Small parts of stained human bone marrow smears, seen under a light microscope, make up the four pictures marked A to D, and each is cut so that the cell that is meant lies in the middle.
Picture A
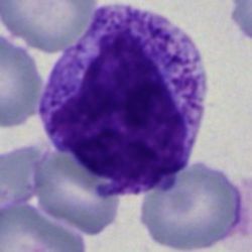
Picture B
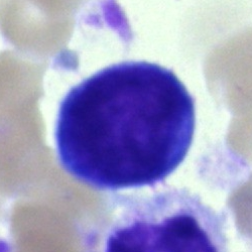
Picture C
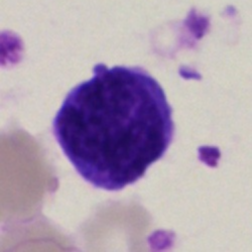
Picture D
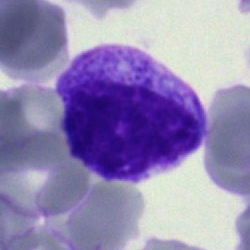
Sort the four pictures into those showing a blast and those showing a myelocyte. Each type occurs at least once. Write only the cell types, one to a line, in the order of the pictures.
myelocyte
blast
blast
myelocyte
